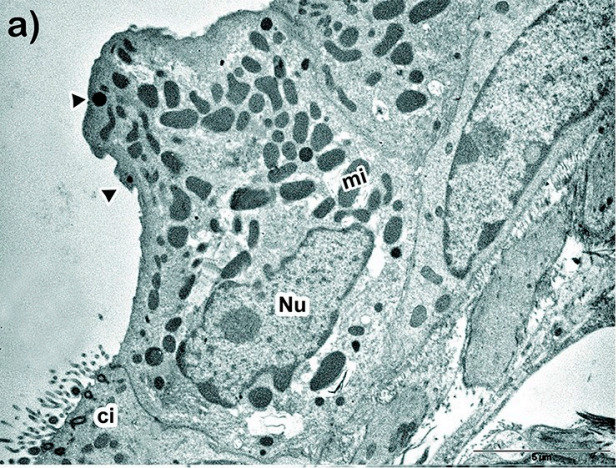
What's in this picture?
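This is a club cell of the airway epithelium, a non-ciliated cell whose domed apex bulges into the lumen beside a ciliated cell. Its oval nucleus with a nucleolus sits in the middle of the cell, surrounded by numerous elongated and round dark mitochondria. At the apical surface lie a few small, very dark secretory granules. Cilia in cross and oblique section are seen on the neighbouring cell at the lower left.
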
